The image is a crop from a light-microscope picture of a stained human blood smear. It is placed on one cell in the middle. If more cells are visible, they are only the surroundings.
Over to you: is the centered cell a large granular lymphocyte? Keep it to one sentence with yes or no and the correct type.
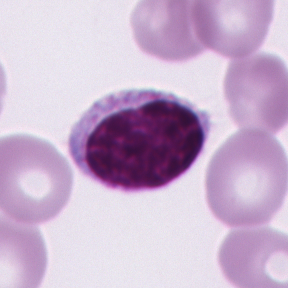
Yes, the cell at the heart of the crop is a large granular lymphocyte.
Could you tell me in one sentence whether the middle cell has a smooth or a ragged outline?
The outer contour of the cell is irregular, with ragged portions or projections along it.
